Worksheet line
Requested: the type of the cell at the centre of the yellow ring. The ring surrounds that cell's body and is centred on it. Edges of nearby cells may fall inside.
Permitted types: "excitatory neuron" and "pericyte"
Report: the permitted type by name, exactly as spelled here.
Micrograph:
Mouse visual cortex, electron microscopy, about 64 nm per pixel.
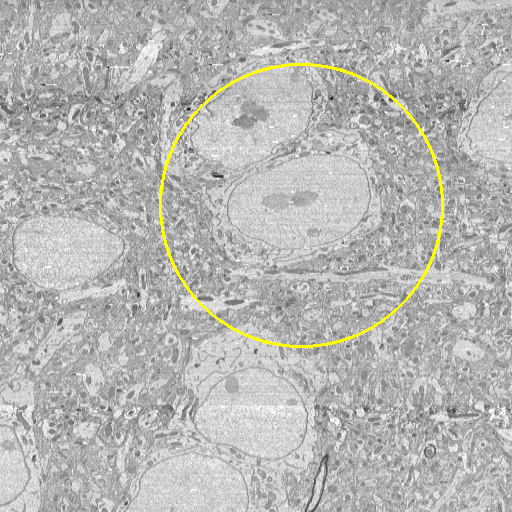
excitatory neuron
